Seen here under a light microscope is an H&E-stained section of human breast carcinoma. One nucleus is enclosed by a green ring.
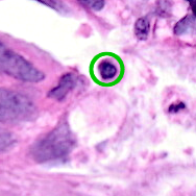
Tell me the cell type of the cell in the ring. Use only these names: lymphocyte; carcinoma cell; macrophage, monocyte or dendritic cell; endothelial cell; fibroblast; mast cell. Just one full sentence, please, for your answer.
Just put down that the cell in the ring is a mast cell.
